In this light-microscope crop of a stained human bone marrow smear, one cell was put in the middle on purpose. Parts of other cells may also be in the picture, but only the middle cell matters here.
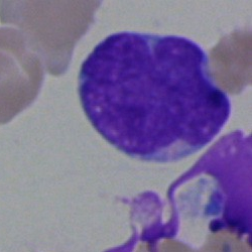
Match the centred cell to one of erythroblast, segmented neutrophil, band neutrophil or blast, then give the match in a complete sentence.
The central cell shown in this smear crop is a blast.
